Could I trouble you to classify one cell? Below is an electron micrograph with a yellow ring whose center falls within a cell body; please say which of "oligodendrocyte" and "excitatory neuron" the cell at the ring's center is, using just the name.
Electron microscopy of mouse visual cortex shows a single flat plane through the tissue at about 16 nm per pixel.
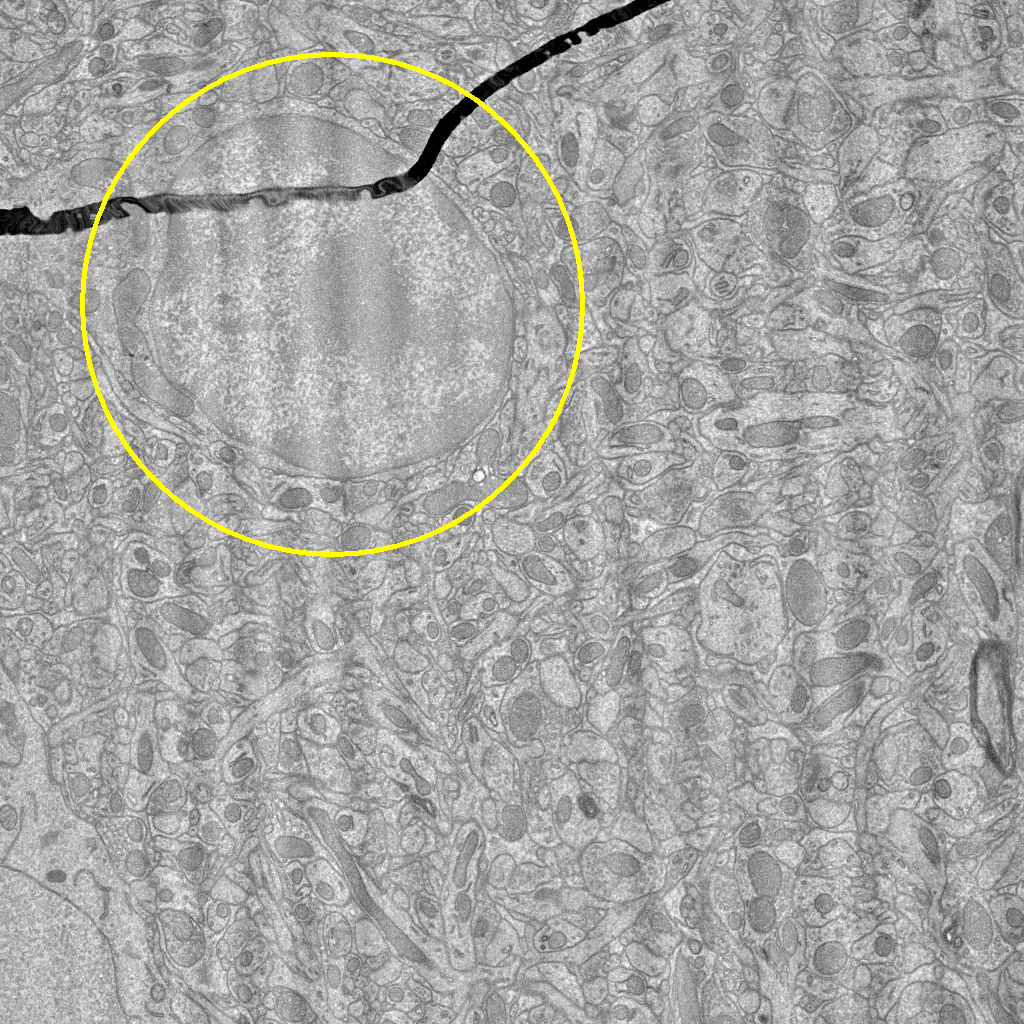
oligodendrocyte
